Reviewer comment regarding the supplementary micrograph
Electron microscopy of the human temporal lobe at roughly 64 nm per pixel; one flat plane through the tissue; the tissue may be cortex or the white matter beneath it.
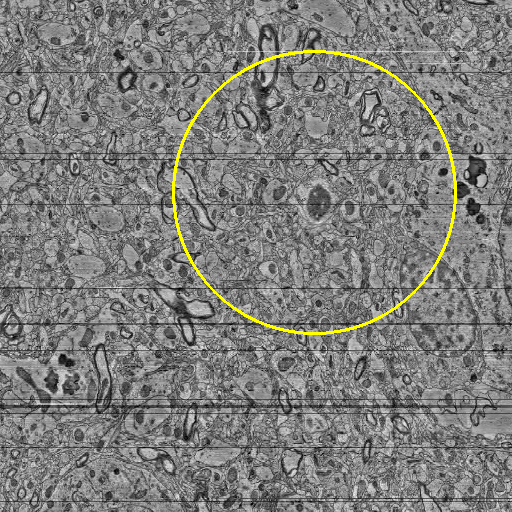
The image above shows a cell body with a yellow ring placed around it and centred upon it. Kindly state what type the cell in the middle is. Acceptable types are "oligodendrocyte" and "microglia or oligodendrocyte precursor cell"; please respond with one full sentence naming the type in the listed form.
In the image above, the cell on which the yellow ring is centred is a microglial cell or oligodendrocyte precursor cell.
